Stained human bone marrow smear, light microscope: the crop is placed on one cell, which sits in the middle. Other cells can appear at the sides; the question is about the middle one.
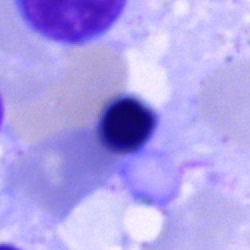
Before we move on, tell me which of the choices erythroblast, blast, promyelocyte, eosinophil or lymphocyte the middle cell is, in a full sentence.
Centrally within this crop lies an erythroblast.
